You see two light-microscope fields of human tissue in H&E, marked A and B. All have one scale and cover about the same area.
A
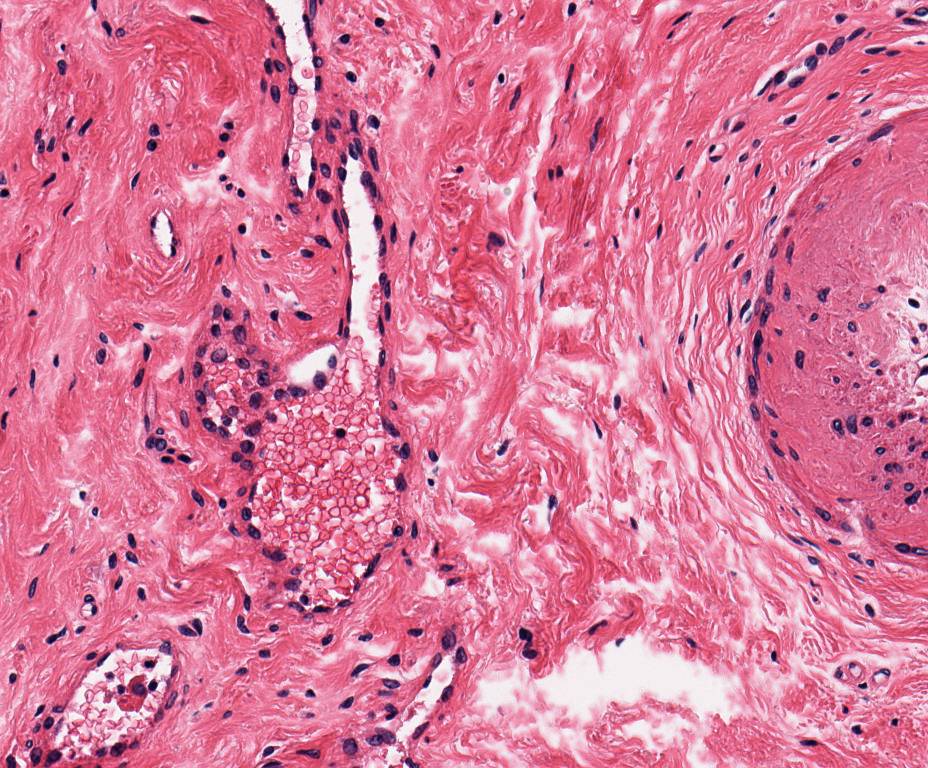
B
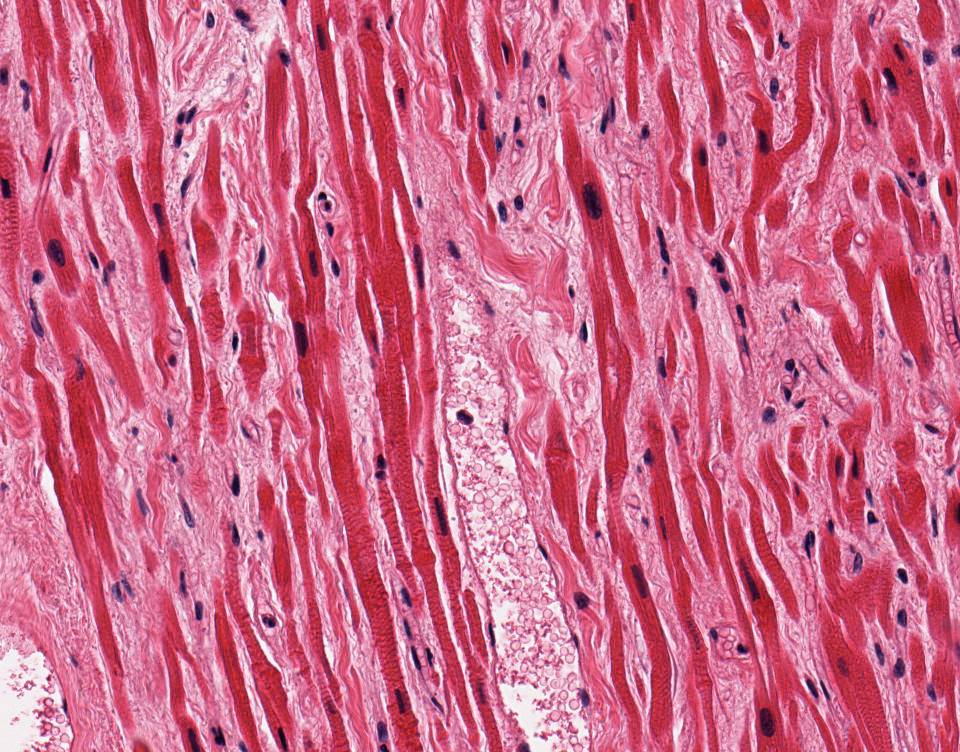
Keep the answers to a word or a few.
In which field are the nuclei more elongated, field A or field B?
B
